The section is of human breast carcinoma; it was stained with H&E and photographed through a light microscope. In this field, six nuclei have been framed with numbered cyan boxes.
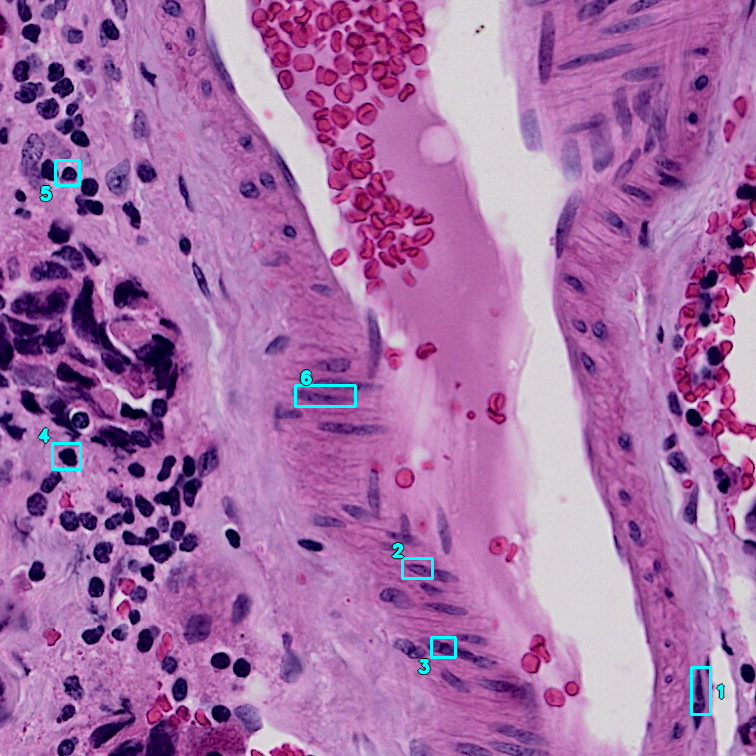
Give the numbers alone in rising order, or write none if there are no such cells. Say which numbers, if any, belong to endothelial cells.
2, 3, 6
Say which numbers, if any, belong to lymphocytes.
4, 5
